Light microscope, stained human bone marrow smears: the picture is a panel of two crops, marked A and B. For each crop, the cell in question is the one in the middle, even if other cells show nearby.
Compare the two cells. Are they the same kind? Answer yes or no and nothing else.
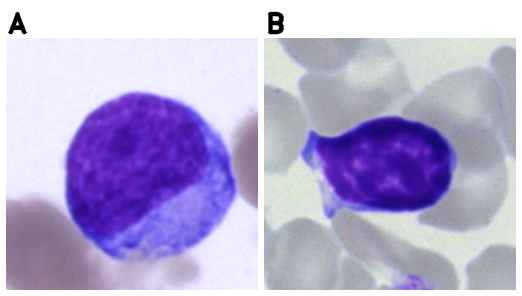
no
